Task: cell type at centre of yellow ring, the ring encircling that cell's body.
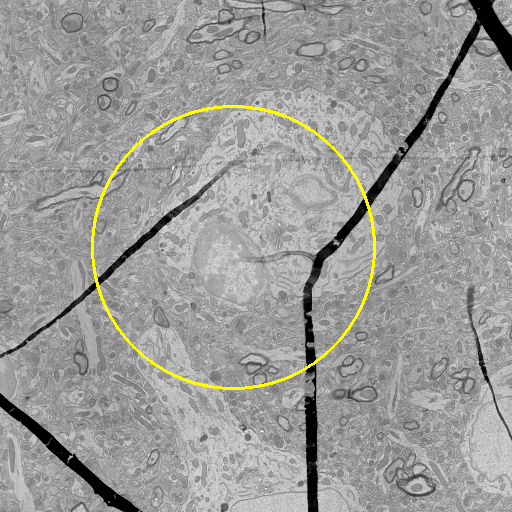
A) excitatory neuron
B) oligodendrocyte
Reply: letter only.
B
